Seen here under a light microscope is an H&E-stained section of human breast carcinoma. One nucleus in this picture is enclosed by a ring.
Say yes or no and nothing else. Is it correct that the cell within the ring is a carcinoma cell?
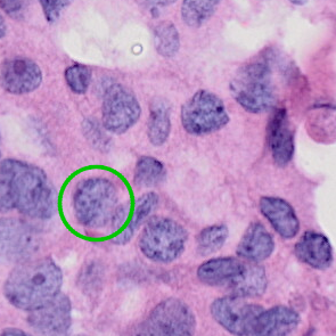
yes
